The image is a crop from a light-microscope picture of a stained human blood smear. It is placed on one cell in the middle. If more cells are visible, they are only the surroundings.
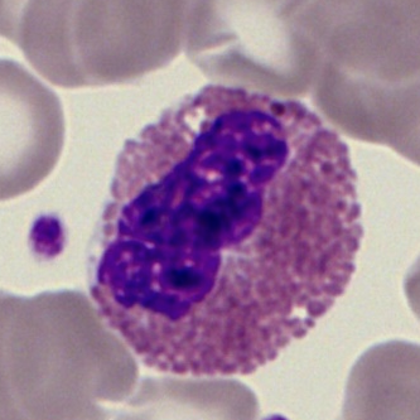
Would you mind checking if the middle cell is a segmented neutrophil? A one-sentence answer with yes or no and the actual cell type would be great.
No, the cell in the middle should be called an eosinophil instead of a segmented neutrophil.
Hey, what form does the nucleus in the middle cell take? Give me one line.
Kindly observe that the nucleus forms two or more lobes.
